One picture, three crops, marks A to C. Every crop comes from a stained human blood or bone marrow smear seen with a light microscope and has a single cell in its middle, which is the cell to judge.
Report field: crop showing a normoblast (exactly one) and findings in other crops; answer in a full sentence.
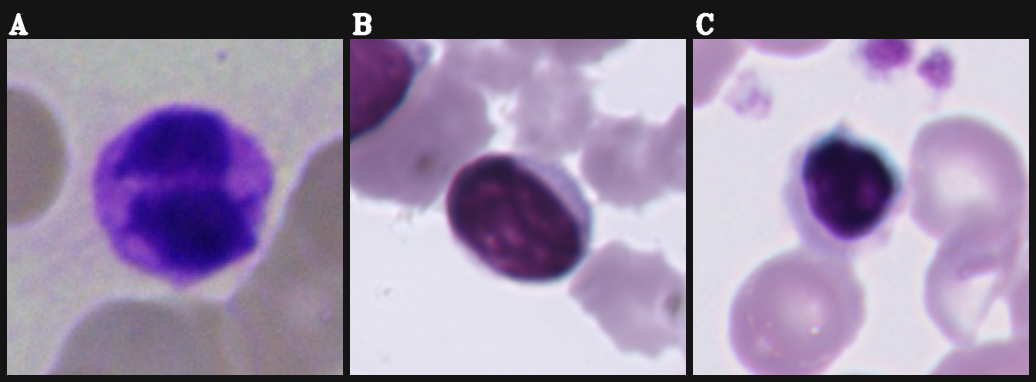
Crop C holds a normoblast at its centre, while crop A is a basophil and crop B is a lymphocyte.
